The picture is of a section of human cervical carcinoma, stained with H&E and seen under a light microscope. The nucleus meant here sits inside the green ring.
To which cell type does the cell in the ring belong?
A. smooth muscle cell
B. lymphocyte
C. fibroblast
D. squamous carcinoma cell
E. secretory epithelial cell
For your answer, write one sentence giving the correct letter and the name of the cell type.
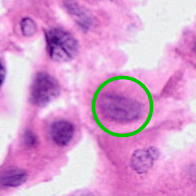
Of all the options, D is right, since the cell in the ring is a squamous carcinoma cell.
